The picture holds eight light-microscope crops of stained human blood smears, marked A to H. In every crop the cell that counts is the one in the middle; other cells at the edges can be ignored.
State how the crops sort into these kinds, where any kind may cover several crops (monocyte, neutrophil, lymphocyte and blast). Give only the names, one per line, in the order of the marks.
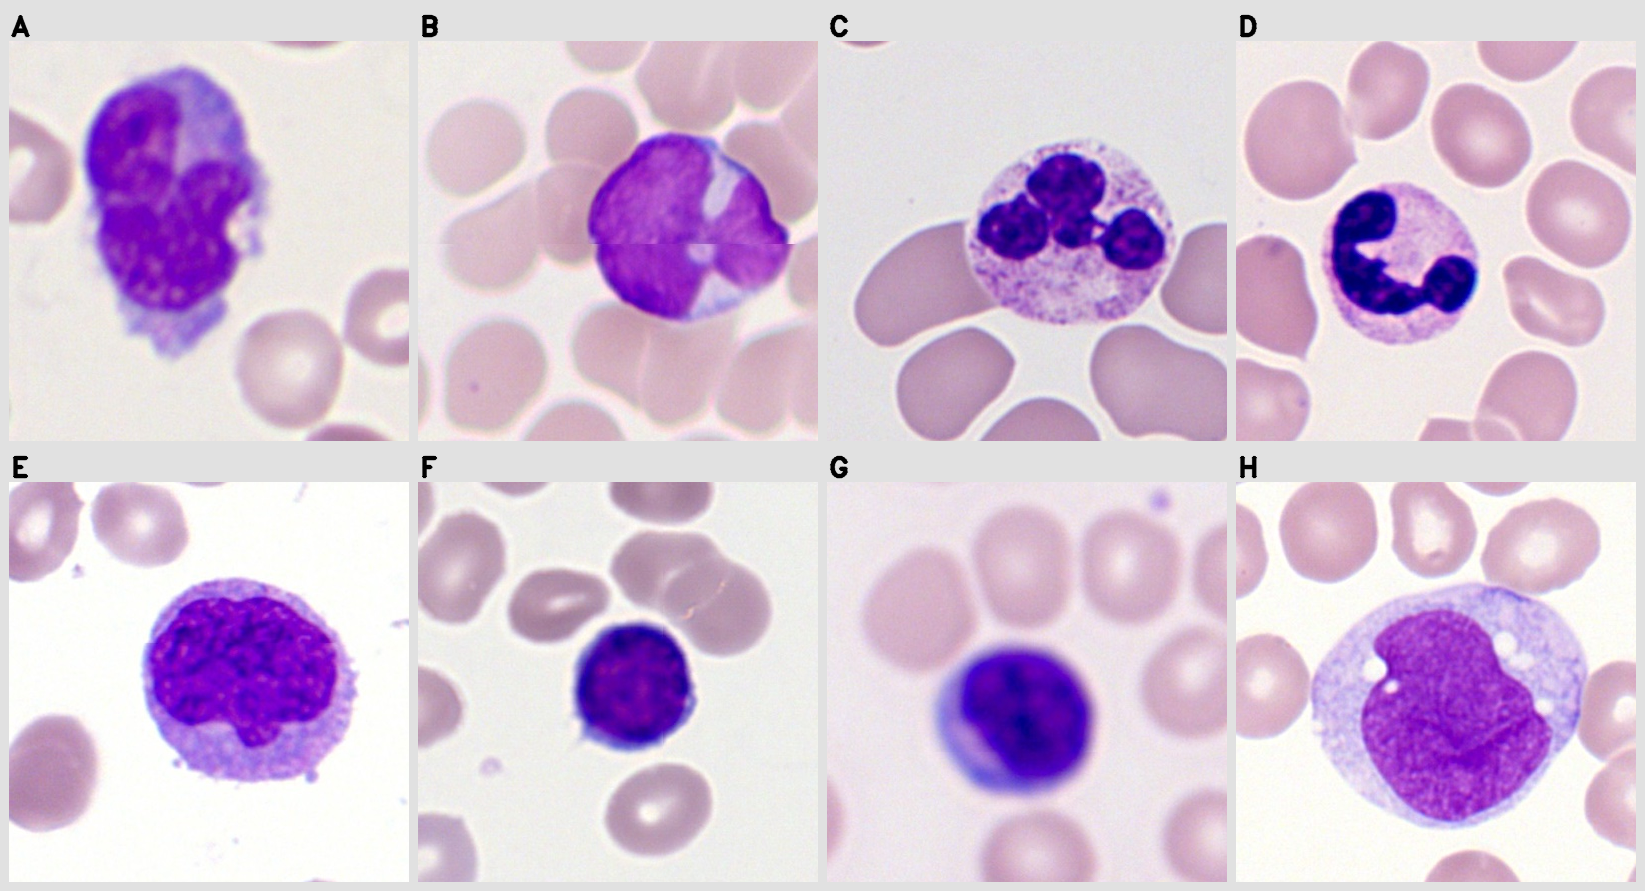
monocyte
blast
neutrophil
neutrophil
monocyte
lymphocyte
lymphocyte
monocyte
